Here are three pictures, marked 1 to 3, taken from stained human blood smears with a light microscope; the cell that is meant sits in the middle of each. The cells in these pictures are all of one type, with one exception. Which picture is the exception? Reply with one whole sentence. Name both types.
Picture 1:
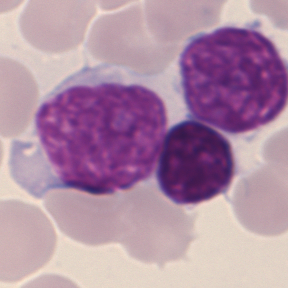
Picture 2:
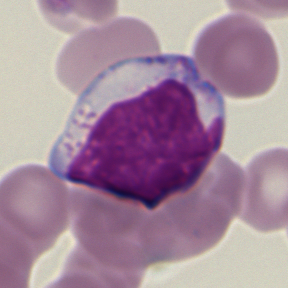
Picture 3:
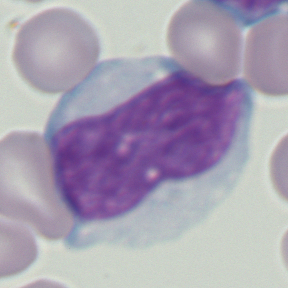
The others show myeloblasts, but picture 2 shows a large granular lymphocyte.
